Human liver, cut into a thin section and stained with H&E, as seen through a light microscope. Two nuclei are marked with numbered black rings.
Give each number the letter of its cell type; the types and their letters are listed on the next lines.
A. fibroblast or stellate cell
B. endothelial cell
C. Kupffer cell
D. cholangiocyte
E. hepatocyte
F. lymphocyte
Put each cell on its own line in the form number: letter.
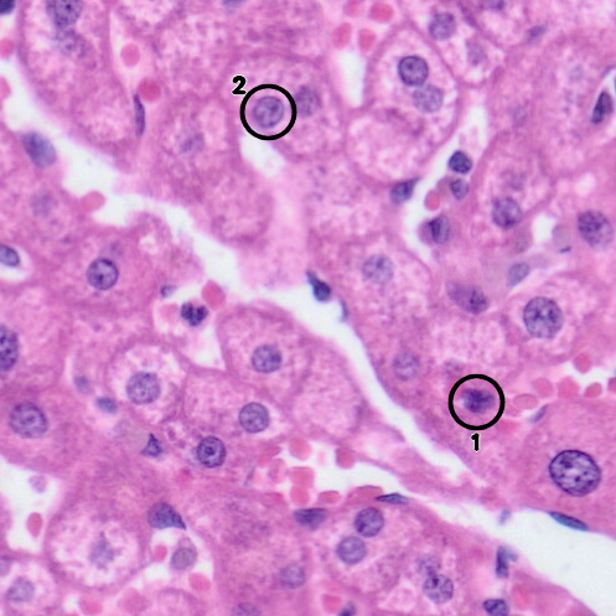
1: A
2: E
